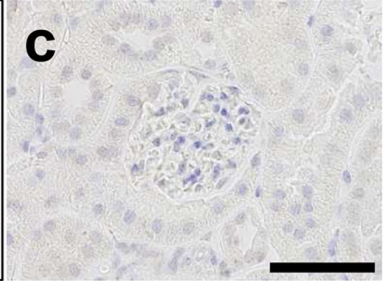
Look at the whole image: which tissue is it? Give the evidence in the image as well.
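Glomerulus. A round tuft of densely packed nuclei sits in the centre. The tuft is surrounded by a thin capsule and a clear space. Cross-sectioned tubules with cuboidal epithelium surround it.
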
